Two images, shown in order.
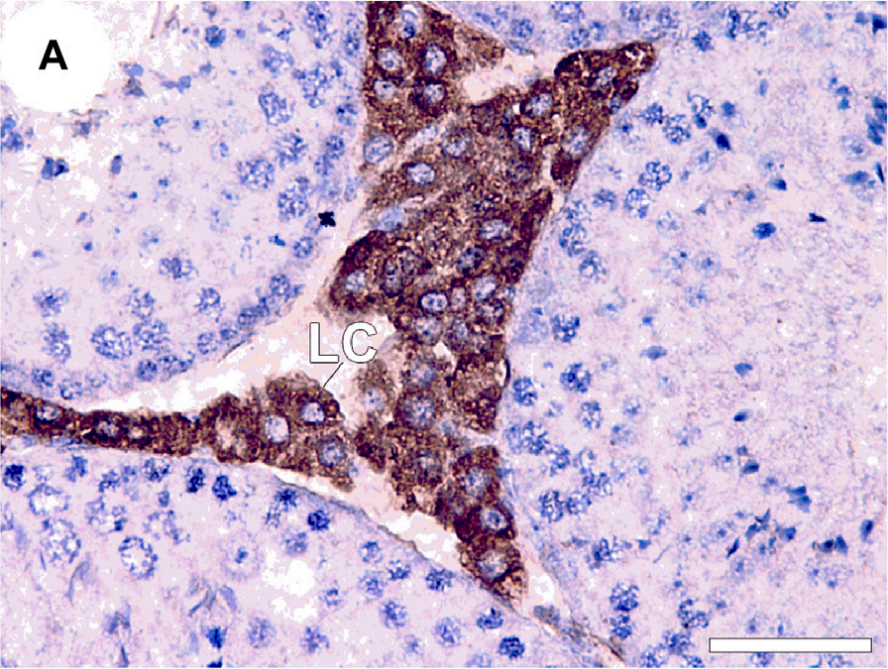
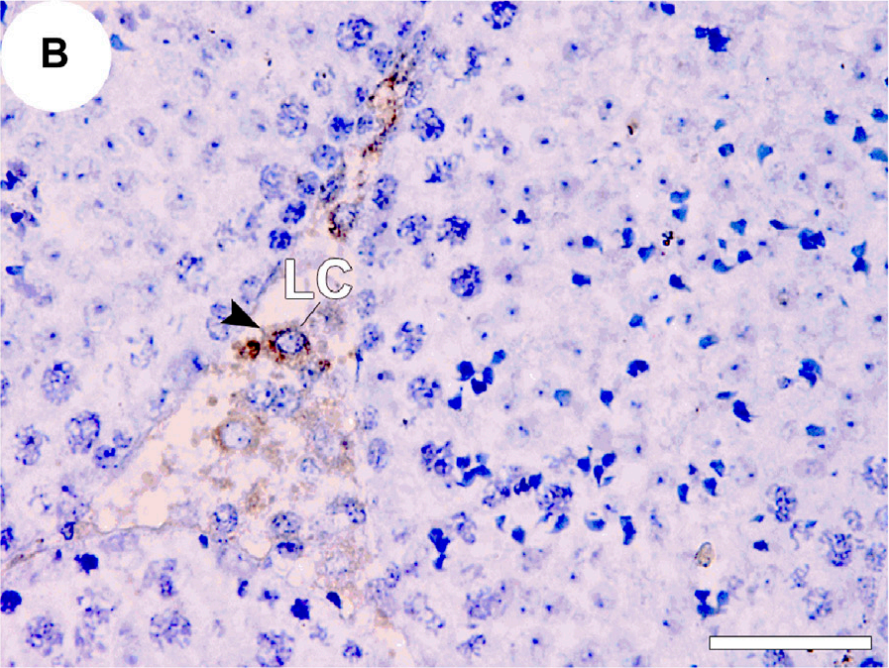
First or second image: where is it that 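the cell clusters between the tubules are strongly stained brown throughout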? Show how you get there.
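The first image. Second image: the space between the tubules holds only faint tan or small brown granules around a few cells. First image: the cells between the tubules have dense dark brown cytoplasm.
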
